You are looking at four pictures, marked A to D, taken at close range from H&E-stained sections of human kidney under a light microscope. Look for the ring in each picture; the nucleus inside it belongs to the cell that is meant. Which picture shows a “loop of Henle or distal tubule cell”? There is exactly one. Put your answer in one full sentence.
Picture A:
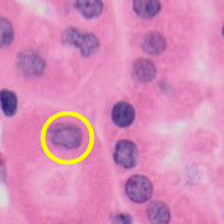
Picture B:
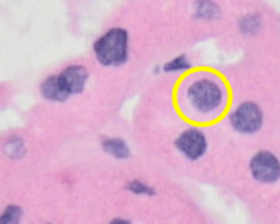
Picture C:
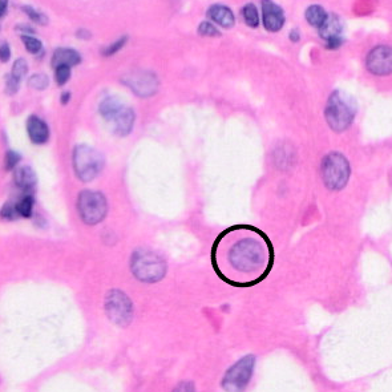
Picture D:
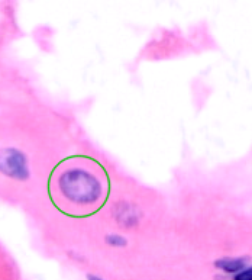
Picture B is the one that shows the “loop of Henle or distal tubule cell”.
